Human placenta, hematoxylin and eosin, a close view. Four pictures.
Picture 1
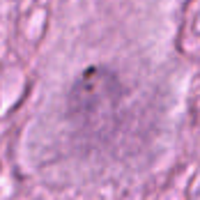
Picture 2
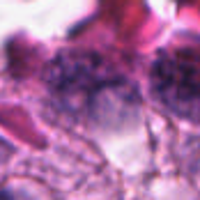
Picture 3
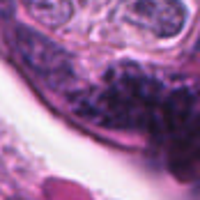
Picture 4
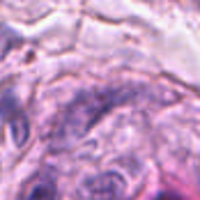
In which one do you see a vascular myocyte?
In picture 4.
